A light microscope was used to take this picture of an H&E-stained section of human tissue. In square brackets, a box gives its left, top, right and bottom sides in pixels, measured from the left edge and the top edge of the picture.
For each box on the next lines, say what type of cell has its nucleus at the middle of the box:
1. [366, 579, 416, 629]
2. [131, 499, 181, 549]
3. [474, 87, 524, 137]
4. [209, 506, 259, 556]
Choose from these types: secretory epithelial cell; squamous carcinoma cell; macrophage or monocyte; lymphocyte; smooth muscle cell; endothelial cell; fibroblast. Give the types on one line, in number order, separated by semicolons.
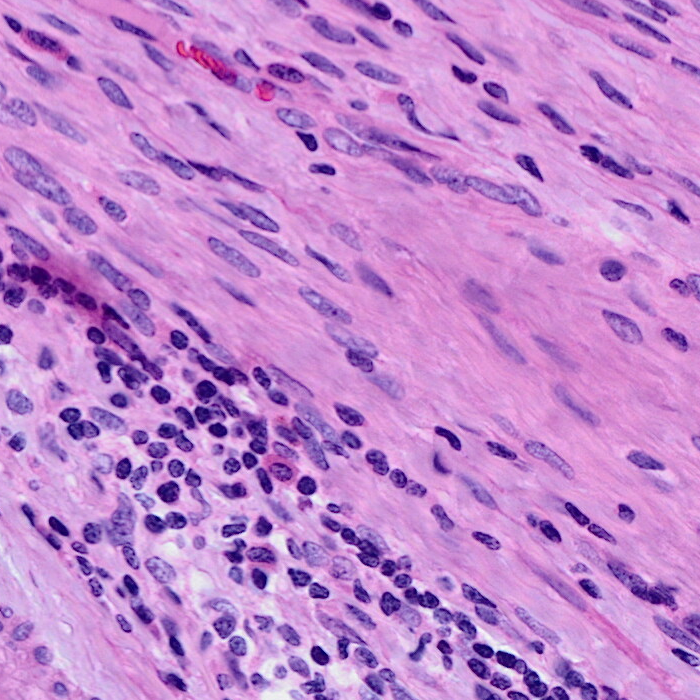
lymphocyte; lymphocyte; fibroblast; lymphocyte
